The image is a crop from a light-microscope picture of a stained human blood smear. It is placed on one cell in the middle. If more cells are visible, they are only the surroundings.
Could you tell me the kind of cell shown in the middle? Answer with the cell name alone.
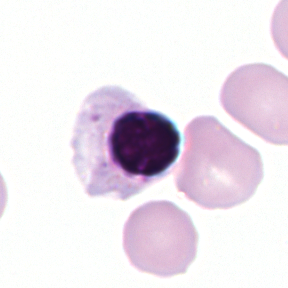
normoblast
